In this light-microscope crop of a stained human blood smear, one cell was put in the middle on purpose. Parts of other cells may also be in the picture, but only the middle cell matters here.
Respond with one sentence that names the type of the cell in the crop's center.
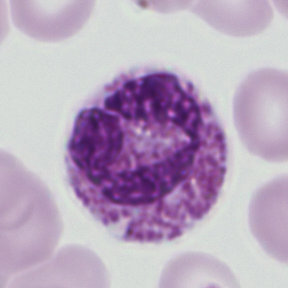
The centrally placed cell is classified as an eosinophil.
